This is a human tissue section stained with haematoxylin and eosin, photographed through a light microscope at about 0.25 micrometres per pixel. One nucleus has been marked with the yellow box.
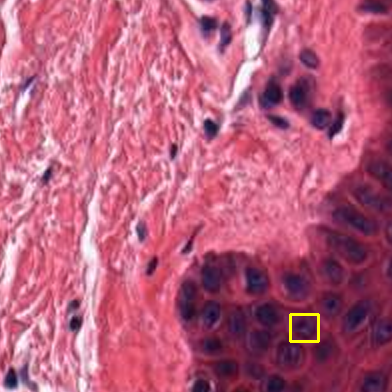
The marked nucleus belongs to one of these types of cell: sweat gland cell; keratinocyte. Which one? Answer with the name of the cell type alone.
keratinocyte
